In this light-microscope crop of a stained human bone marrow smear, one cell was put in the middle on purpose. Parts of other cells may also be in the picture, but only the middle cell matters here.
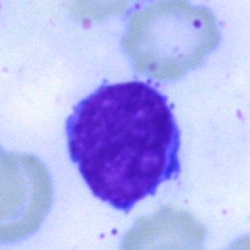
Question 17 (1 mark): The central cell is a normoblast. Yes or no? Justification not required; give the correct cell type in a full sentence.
No, rather than being a normoblast, the central cell is a lymphocyte.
